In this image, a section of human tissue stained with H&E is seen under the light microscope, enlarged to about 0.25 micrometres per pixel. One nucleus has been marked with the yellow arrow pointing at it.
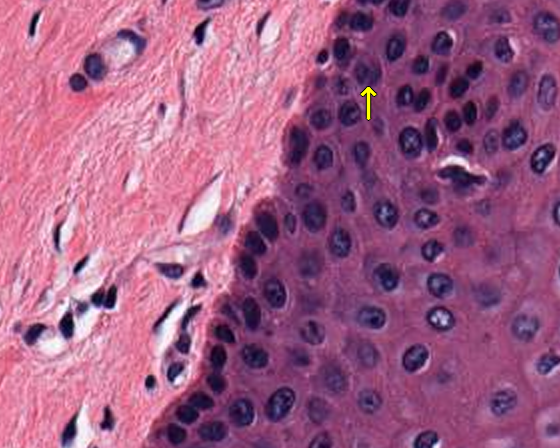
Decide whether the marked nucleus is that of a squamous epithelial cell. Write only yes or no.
yes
